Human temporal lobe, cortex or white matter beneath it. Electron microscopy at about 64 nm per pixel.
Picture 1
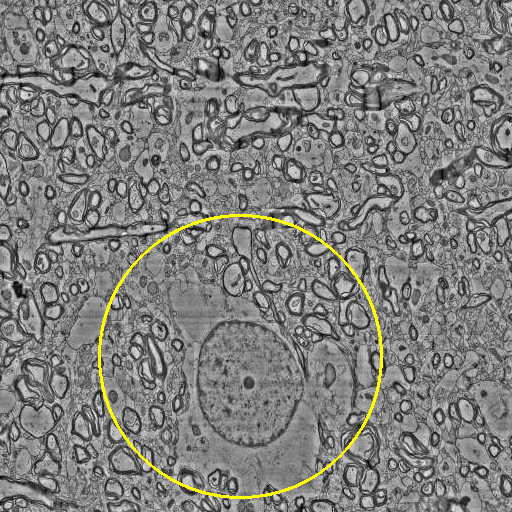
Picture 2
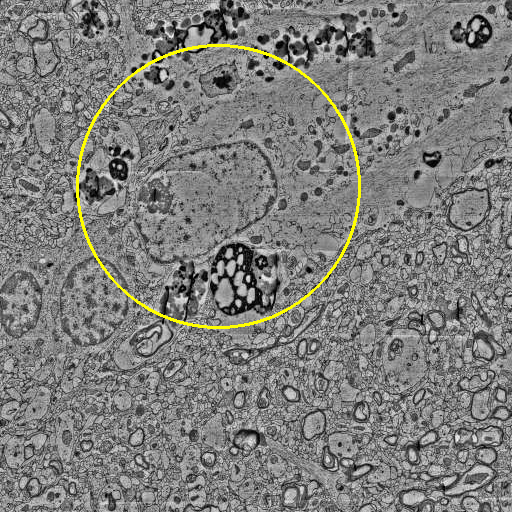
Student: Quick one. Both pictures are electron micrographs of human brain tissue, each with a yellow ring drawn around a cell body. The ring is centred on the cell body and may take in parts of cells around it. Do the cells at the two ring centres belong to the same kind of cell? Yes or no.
yes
